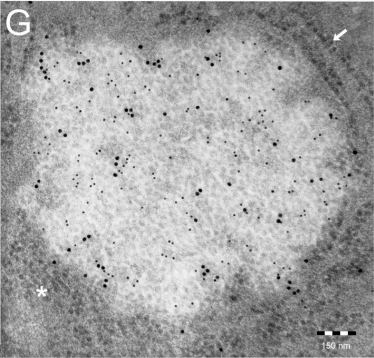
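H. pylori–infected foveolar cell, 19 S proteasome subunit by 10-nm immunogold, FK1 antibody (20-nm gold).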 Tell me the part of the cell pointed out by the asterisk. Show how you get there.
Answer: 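Free ribosomes. Densely packed small dark dots in the cytoplasm at the edge of the pale particulate area.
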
